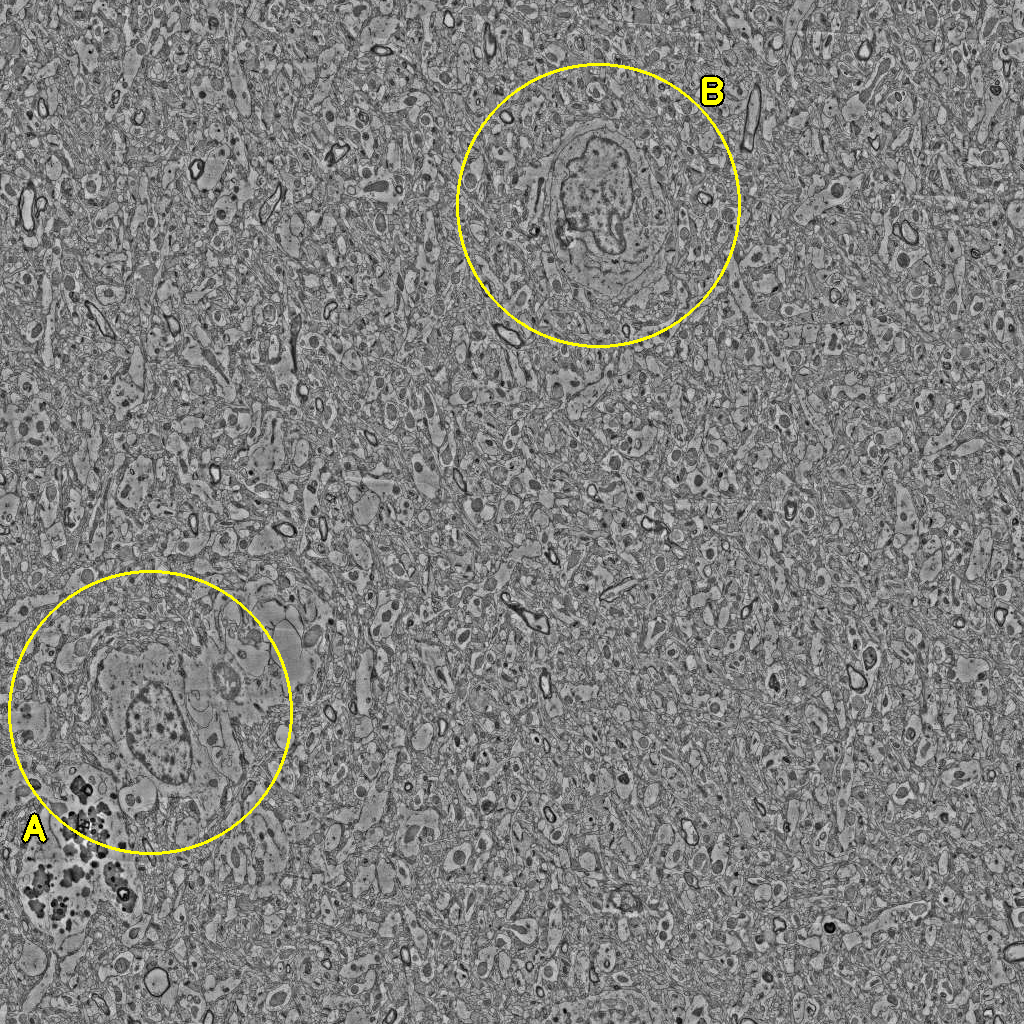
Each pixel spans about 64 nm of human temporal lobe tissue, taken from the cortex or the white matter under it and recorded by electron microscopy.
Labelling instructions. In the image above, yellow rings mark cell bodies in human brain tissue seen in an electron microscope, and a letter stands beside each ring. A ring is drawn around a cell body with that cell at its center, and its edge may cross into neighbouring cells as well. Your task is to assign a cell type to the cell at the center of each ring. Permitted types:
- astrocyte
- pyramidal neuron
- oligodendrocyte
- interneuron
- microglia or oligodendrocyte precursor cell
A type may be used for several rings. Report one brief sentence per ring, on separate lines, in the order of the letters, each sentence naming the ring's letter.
The cell at the center of ring A is an astrocyte.
The cell at the center of ring B is an interneuron.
